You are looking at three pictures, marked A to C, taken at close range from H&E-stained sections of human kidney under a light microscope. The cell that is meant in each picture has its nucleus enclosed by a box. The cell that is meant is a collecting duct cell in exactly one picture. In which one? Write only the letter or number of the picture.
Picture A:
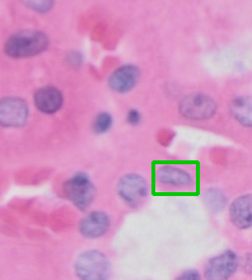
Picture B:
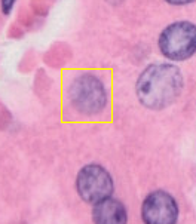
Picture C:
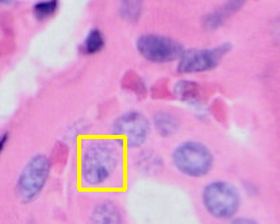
C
